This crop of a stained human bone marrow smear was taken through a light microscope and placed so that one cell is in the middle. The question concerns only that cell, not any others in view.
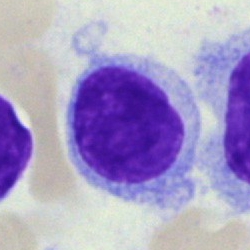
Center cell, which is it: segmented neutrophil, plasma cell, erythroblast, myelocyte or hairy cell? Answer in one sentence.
The cell in the exact centre of the crop is a hairy cell.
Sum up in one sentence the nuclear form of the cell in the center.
If you check the nucleus, you will find one compact mass, round, oval or kidney-shaped.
